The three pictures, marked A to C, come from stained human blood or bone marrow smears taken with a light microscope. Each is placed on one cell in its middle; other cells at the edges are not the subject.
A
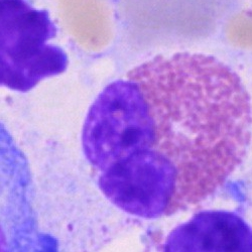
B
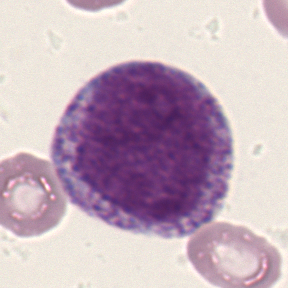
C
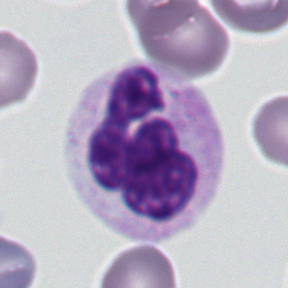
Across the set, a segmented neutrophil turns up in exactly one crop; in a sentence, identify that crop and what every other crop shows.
The middle of crop C is occupied by a segmented neutrophil, while crop A is an eosinophil and crop B is a promyelocyte.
